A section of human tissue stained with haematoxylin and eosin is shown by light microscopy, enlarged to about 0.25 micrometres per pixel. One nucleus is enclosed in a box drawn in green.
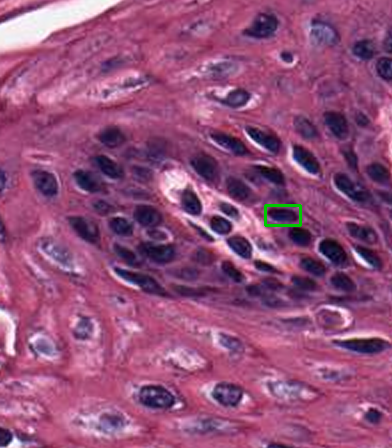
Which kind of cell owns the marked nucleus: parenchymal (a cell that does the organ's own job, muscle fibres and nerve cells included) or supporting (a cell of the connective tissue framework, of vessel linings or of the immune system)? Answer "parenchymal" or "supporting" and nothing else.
parenchymal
